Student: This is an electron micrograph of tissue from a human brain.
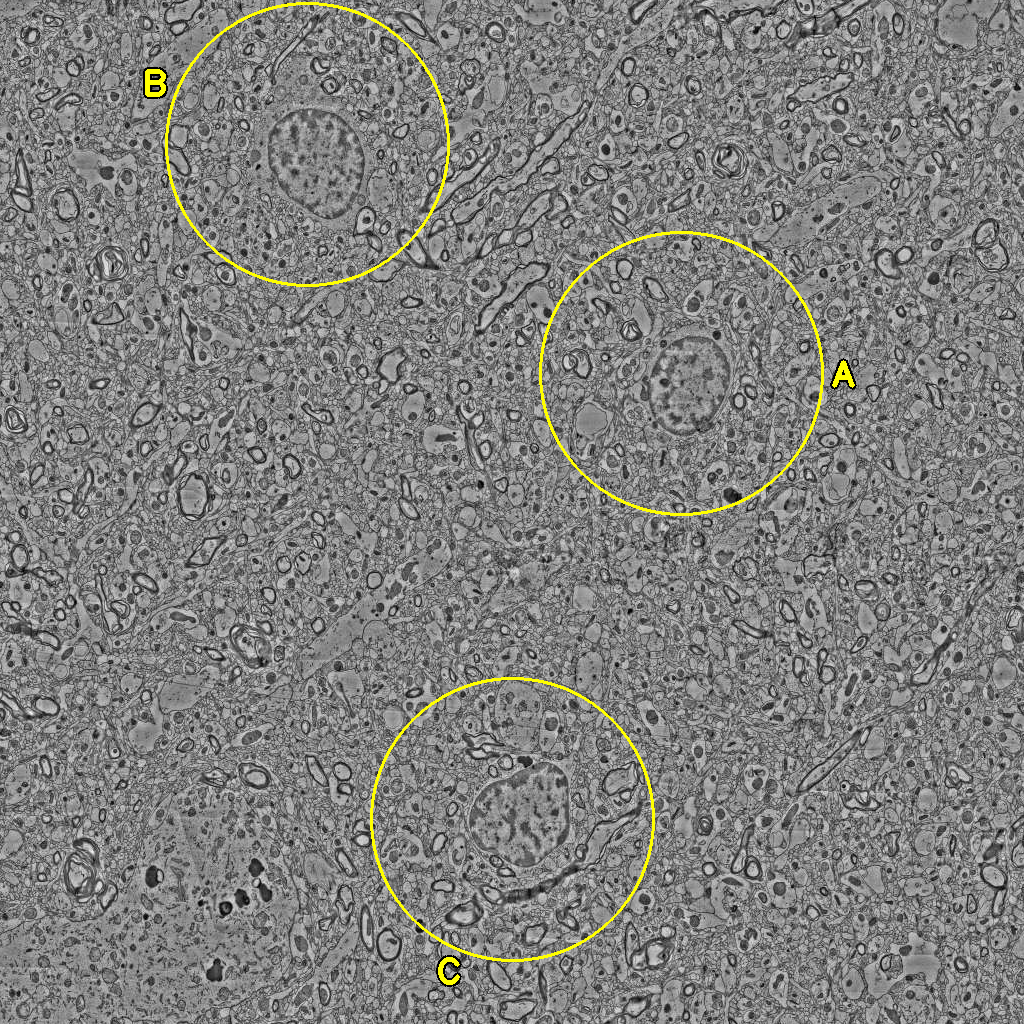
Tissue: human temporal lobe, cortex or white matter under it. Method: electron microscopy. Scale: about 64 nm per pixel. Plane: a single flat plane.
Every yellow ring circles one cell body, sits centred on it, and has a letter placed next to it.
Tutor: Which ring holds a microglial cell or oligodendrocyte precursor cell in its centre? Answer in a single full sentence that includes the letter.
Ring C is the ring whose centre holds the cell asked for in the picture.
